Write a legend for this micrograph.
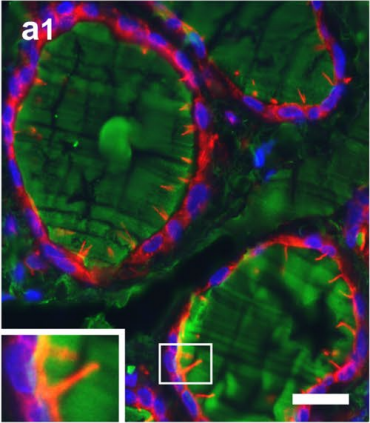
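Thyroid follicles are seen in section, each a ring of cuboidal epithelial cells around a lumen filled with green-stained colloid that shows cracks and folds. The blue nuclei of the lining cells lie side by side in a single row around the follicle. From the apical surface of many lining cells, slender red primary cilia project into the colloid, some fairly long; red staining also outlines the cell borders and apical rim. The inset enlarges one such cilium emerging from the epithelium. Neighbouring follicles are separated by thin strands of interstitial tissue with a few nuclei.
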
